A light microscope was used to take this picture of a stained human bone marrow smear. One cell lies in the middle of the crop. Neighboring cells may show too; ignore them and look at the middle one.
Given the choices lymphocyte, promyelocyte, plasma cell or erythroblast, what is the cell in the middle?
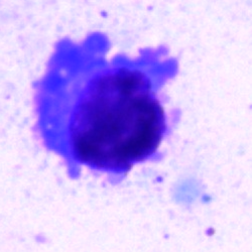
plasma cell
